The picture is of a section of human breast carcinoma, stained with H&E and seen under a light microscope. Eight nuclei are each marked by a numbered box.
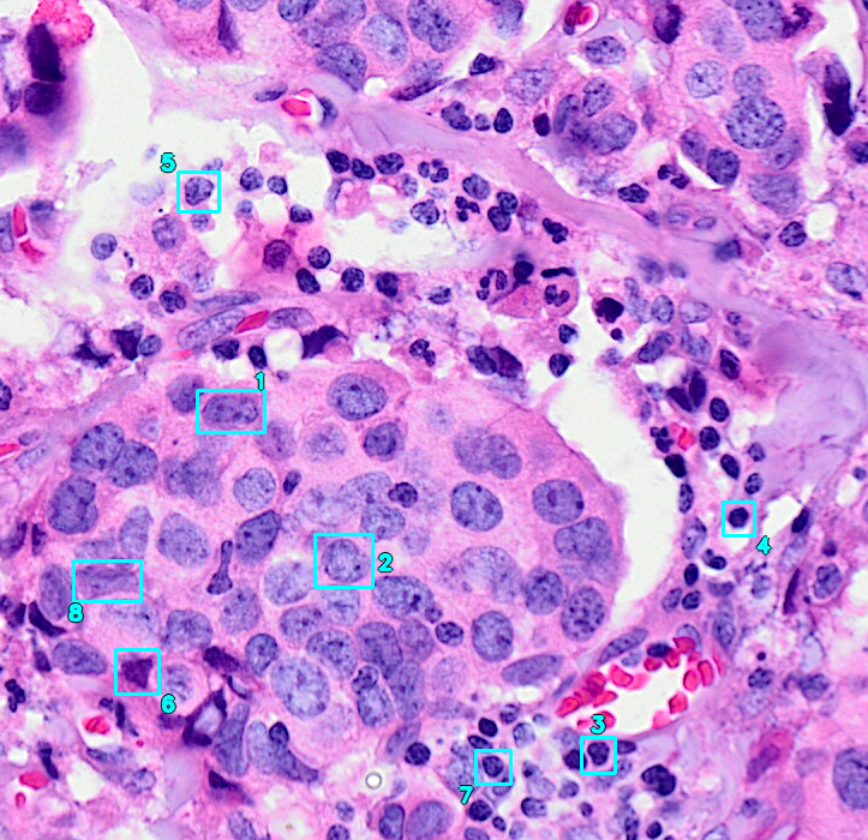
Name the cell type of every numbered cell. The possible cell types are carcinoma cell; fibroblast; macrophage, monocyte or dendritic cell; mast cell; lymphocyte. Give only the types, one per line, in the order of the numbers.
carcinoma cell
carcinoma cell
lymphocyte
lymphocyte
lymphocyte
carcinoma cell
lymphocyte
carcinoma cell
